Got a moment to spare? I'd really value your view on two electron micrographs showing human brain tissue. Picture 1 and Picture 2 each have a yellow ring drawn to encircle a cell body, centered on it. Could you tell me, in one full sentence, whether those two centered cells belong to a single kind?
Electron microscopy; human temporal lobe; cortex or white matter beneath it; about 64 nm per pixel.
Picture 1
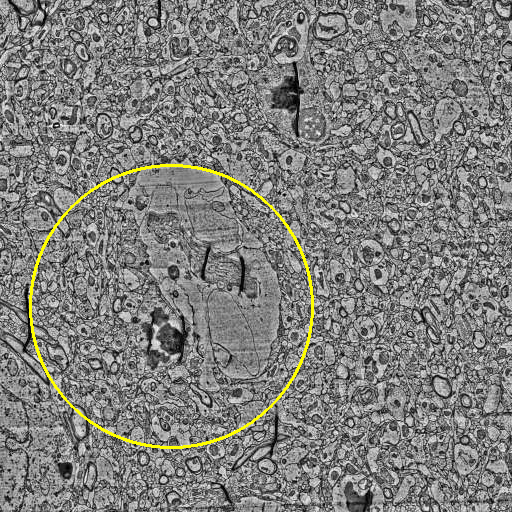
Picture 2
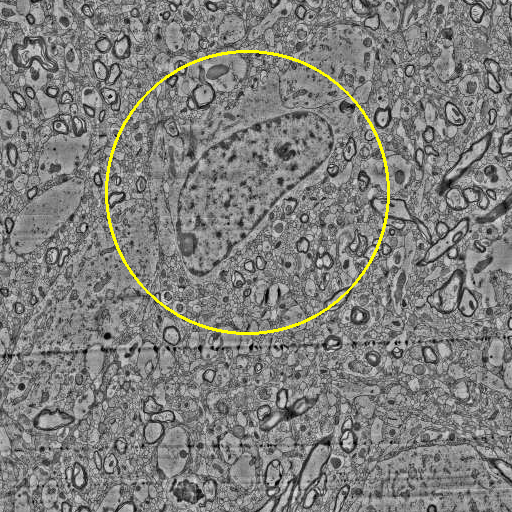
No, the two centered cells in Picture 1 and Picture 2 are of two kinds.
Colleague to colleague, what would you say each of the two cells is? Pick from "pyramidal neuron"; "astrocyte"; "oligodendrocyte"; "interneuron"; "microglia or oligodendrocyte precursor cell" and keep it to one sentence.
The cell in the first picture is an oligodendrocyte; the second picture's cell is a microglial cell or oligodendrocyte precursor cell.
